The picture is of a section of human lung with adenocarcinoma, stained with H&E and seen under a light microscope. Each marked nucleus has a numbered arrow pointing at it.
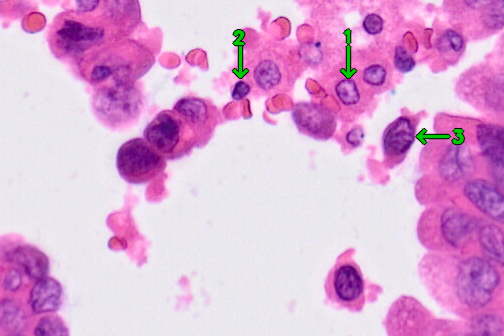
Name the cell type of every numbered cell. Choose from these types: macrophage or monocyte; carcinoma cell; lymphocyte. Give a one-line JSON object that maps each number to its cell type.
{"1": "macrophage or monocyte", "2": "lymphocyte", "3": "carcinoma cell"}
